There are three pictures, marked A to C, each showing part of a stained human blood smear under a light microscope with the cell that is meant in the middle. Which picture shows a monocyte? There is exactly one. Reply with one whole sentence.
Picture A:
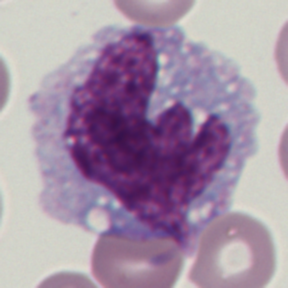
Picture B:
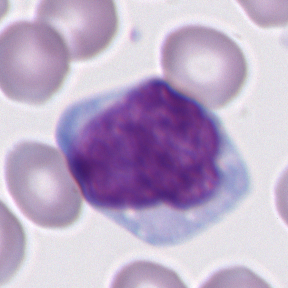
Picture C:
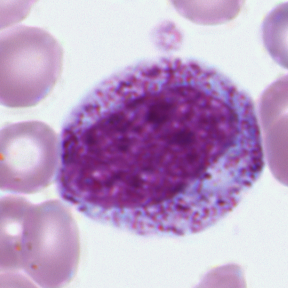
The monocyte is the one in picture A.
